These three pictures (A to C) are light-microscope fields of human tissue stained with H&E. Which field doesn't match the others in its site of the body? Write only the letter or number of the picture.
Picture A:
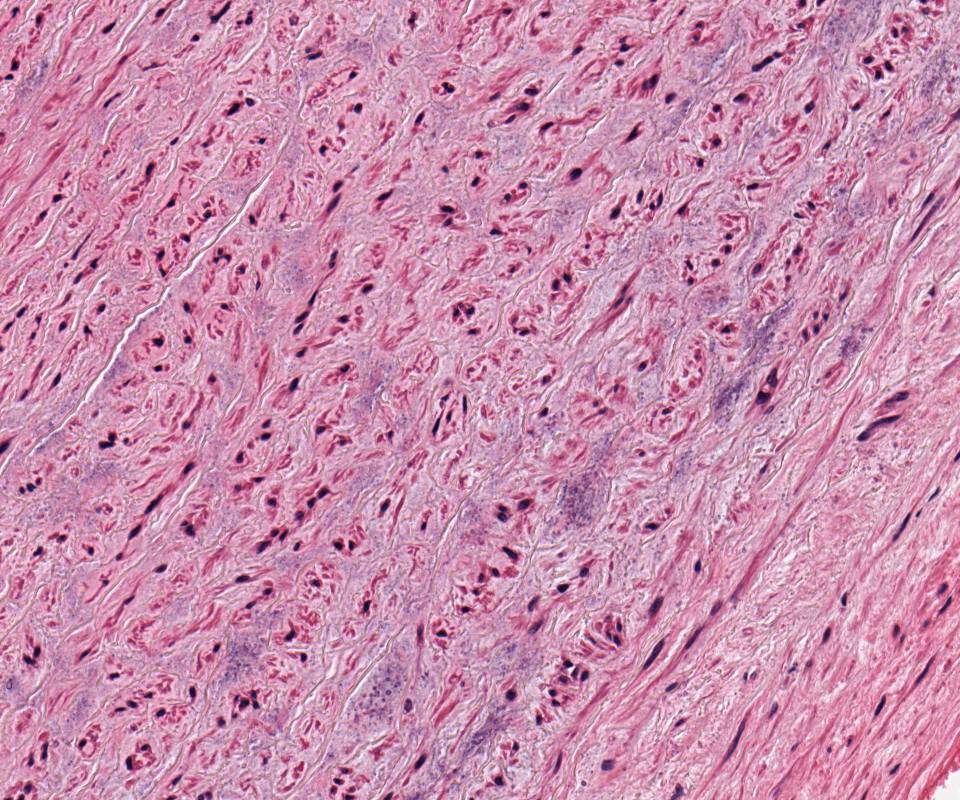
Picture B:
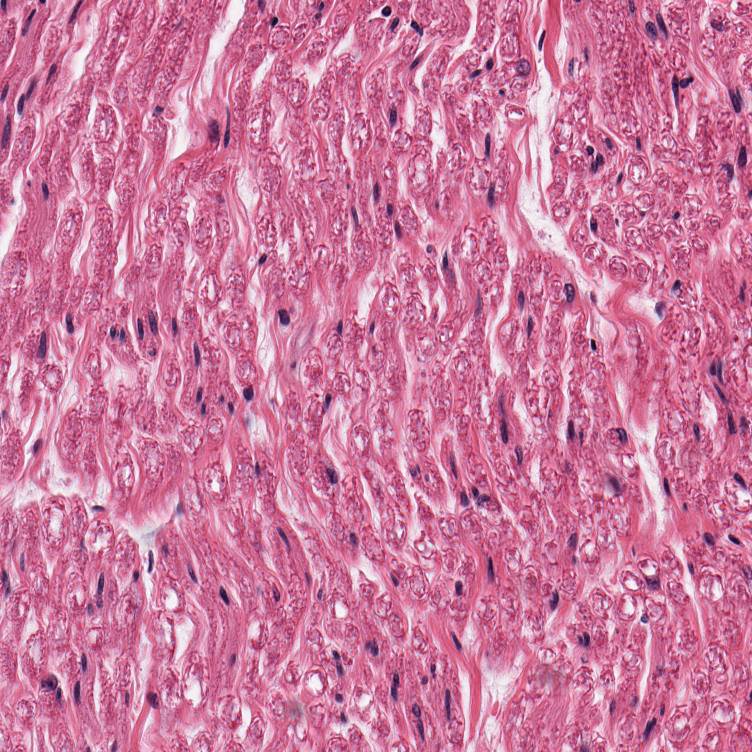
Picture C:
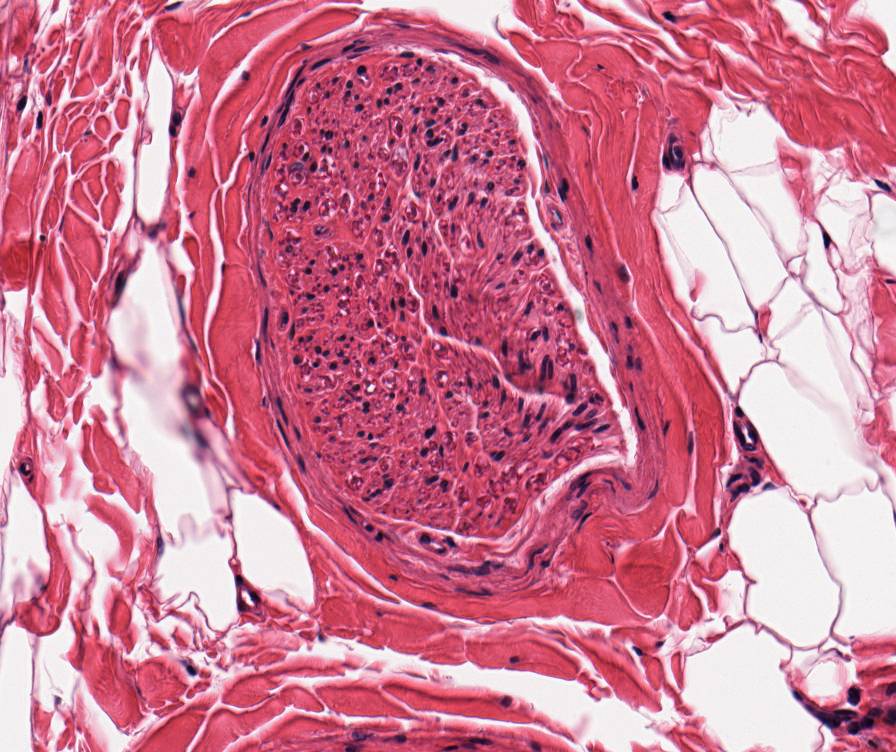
A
